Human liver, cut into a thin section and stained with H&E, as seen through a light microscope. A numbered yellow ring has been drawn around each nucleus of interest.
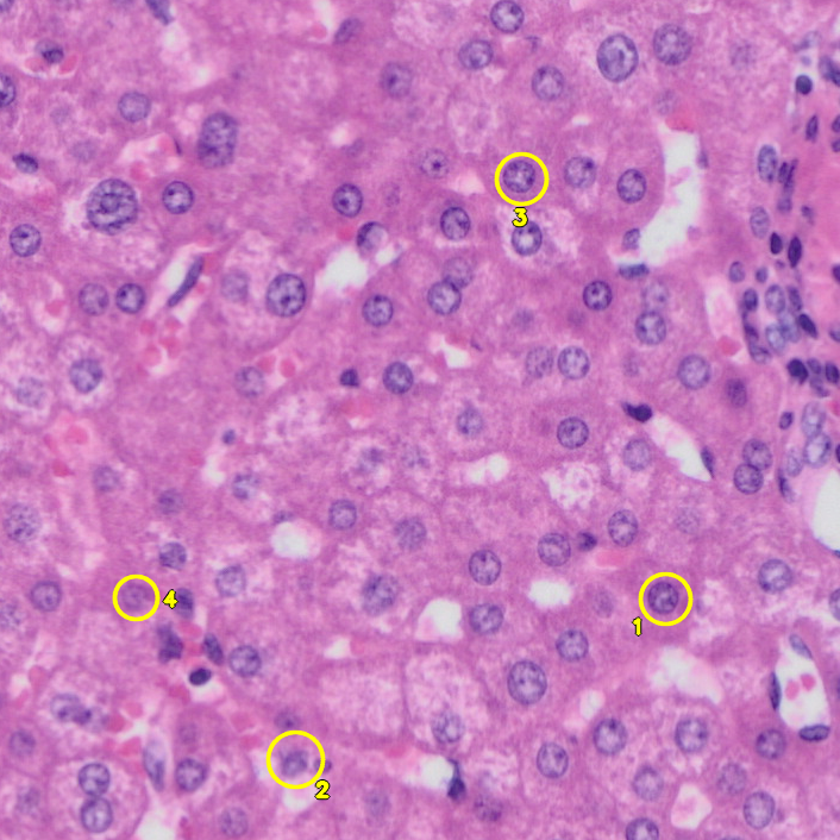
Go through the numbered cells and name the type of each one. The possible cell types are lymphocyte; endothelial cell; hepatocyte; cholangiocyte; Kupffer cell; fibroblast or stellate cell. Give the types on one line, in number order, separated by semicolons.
hepatocyte; Kupffer cell; hepatocyte; hepatocyte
